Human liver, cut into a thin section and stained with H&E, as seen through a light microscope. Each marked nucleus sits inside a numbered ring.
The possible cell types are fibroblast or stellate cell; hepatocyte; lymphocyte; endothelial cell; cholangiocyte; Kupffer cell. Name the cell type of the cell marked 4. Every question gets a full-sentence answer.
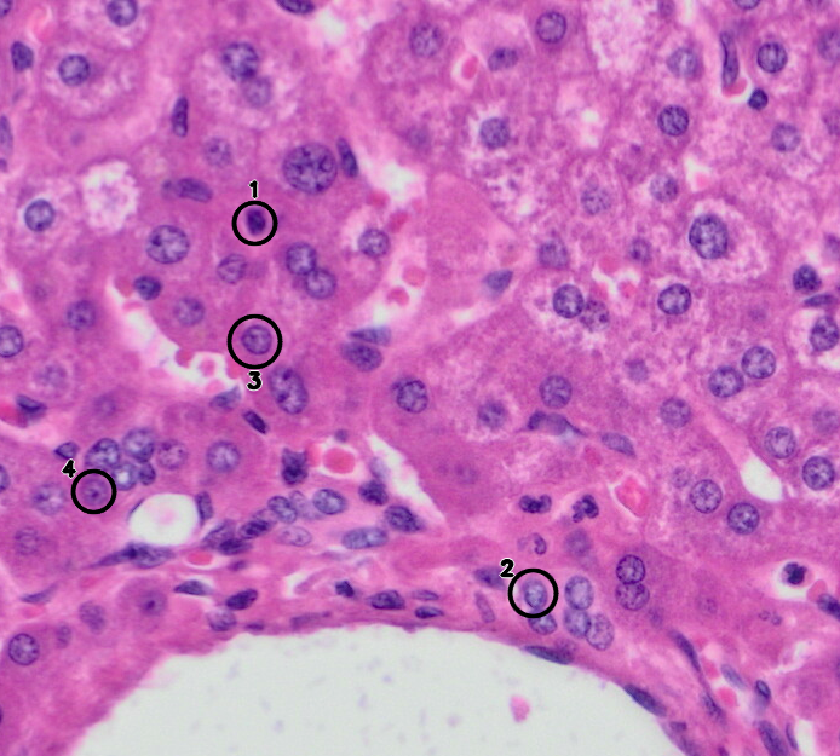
The cell that carries the label 4 is a cholangiocyte.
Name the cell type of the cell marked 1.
Marked with the number 1, this cell is a lymphocyte.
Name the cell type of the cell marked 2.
The cell indicated with the number 2 is classed as a cholangiocyte.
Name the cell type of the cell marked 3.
Cell 3 of the marked set is a hepatocyte.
